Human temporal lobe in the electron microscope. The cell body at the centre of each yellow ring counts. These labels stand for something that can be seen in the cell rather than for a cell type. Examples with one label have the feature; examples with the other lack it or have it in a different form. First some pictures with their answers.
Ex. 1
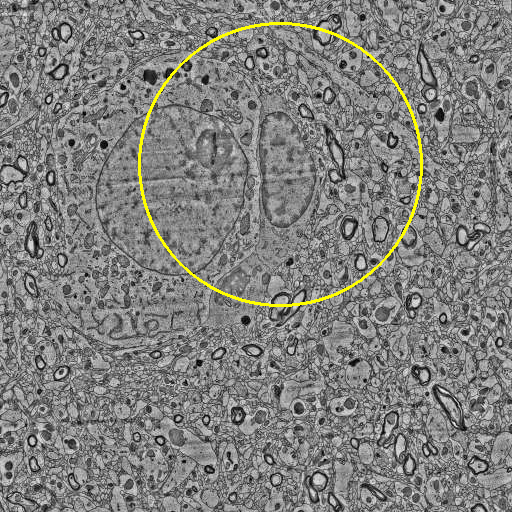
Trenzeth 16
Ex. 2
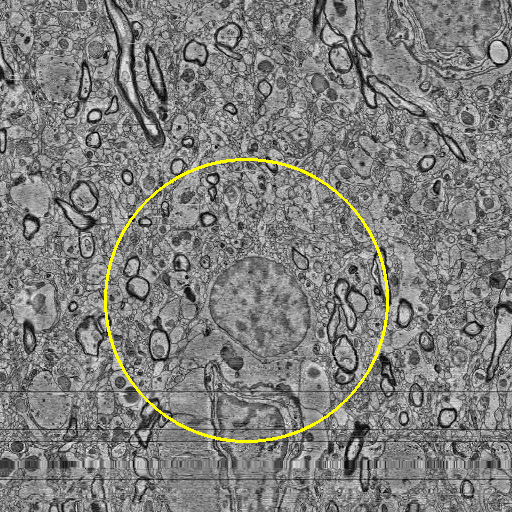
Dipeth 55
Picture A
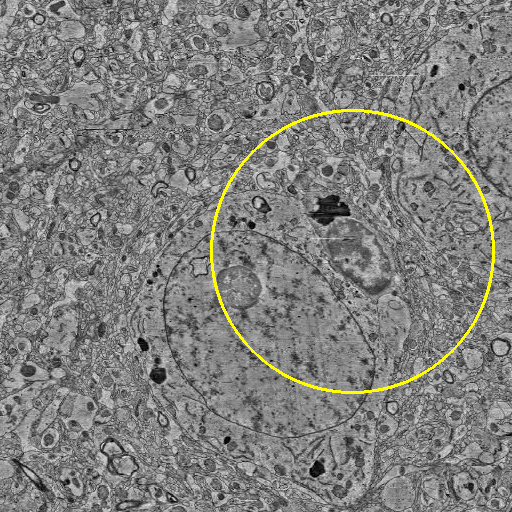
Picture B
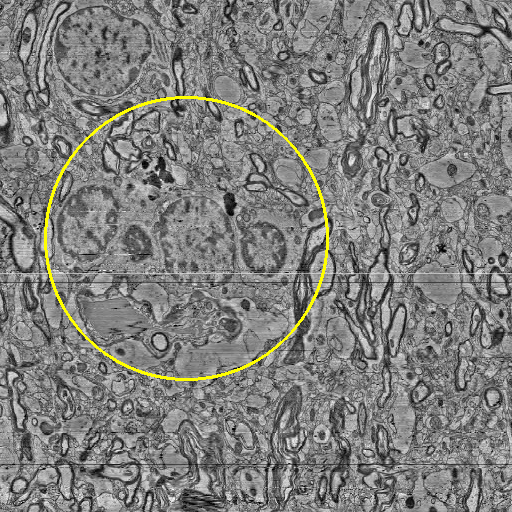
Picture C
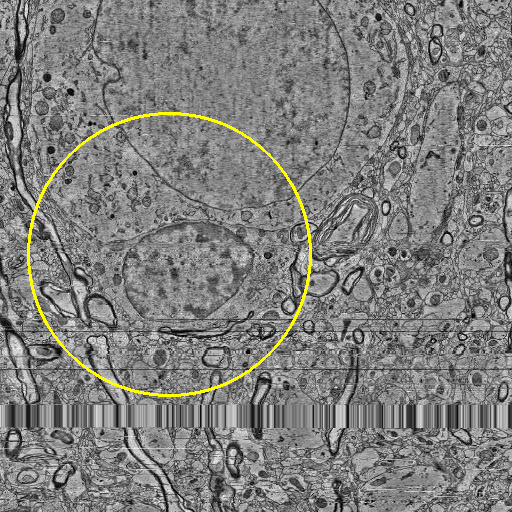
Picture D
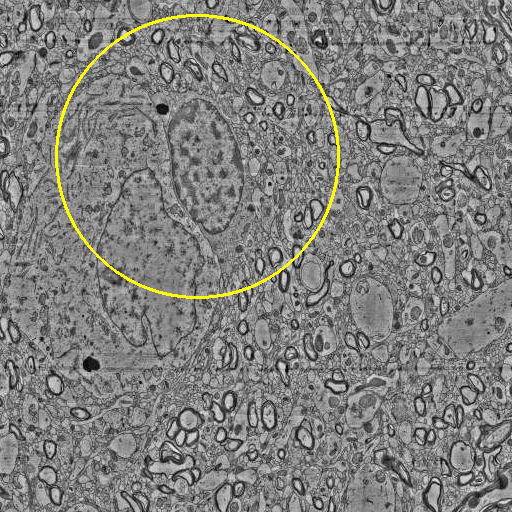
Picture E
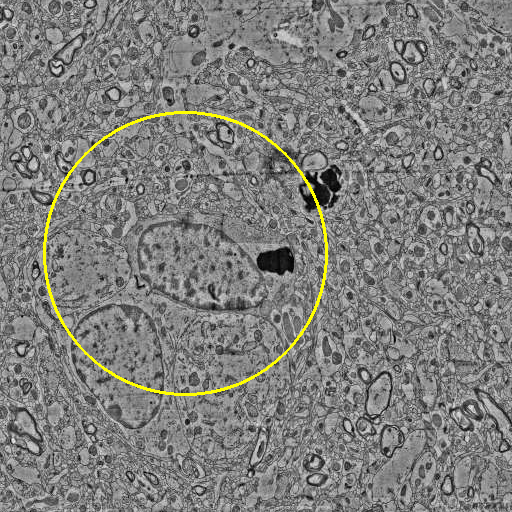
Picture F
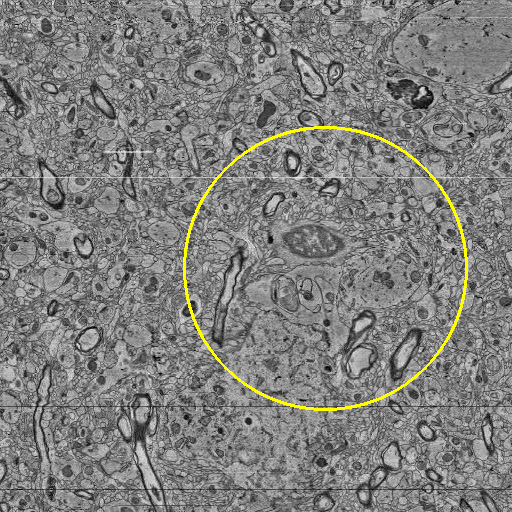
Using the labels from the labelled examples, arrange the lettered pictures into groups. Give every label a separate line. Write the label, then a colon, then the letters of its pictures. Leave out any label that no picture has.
Trenzeth 16: A, D, E, F
Dipeth 55: B, C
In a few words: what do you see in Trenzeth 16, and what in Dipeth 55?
Seen in Trenzeth 16: clearly elongated nuclei; seen in Dipeth 55: round or nearly round nuclei.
